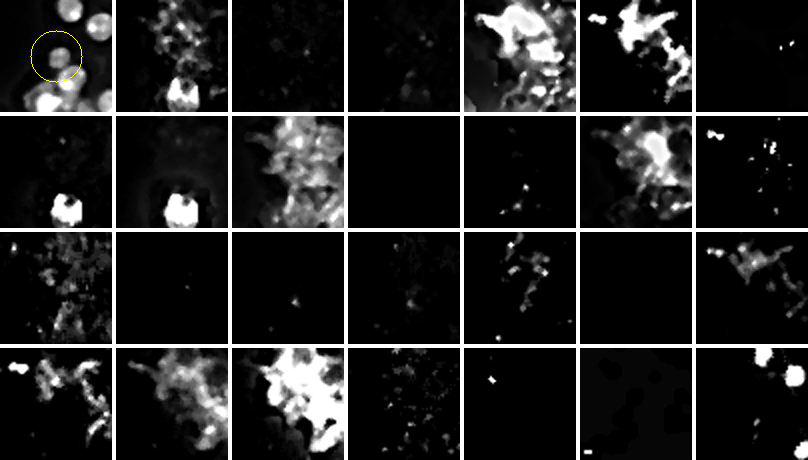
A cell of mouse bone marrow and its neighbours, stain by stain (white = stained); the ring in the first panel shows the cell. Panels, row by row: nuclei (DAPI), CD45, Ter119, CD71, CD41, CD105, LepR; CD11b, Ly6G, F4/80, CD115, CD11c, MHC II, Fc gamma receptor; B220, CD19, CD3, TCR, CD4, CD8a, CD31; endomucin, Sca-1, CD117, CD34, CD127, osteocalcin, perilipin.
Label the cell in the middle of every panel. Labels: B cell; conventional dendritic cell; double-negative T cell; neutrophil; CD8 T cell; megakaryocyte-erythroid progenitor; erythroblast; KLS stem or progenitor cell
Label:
megakaryocyte-erythroid progenitor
